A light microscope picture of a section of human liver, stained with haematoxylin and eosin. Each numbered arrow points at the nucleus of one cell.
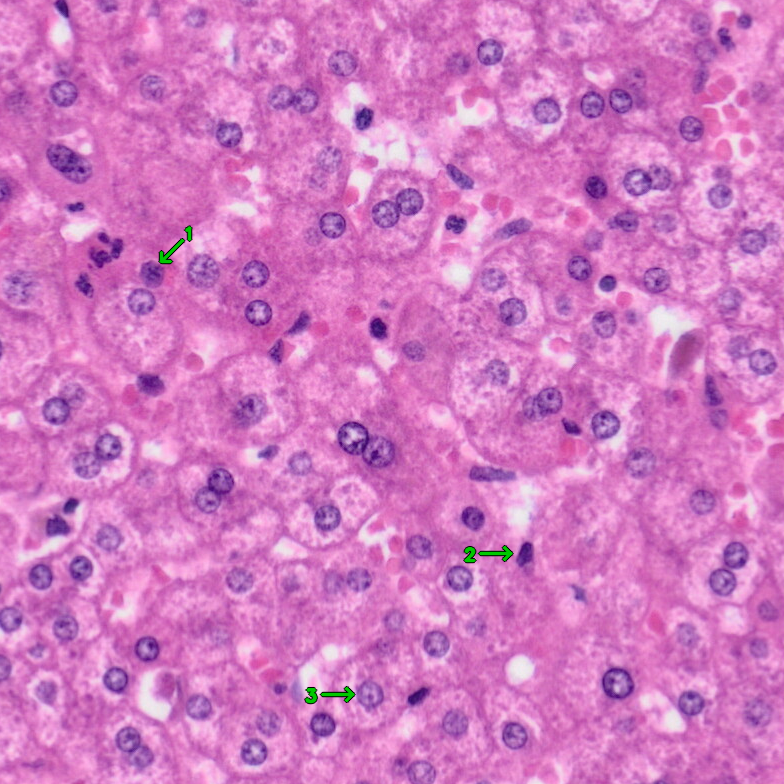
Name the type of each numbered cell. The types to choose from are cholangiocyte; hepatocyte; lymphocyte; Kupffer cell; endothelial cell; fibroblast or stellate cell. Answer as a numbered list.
1. endothelial cell
2. fibroblast or stellate cell
3. hepatocyte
